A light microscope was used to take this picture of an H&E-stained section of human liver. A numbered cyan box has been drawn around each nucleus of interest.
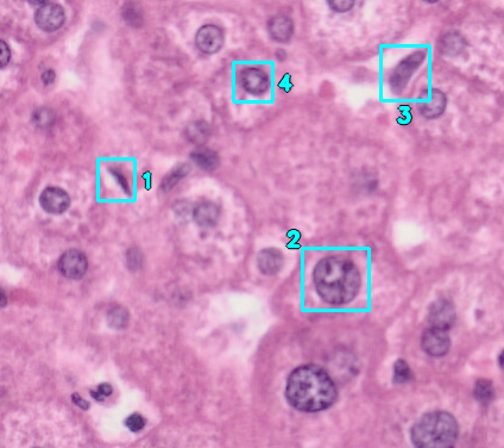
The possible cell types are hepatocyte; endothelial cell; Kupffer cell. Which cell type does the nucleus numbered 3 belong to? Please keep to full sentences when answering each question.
Of the numbered cells, the one labelled 3 is a Kupffer cell.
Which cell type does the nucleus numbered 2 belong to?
The cell tagged with 2 in this tissue section is a hepatocyte.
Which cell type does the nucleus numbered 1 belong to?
Recognised here as an endothelial cell is the cell numbered 1.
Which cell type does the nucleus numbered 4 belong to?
The cell marked with the number 4 is a hepatocyte.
